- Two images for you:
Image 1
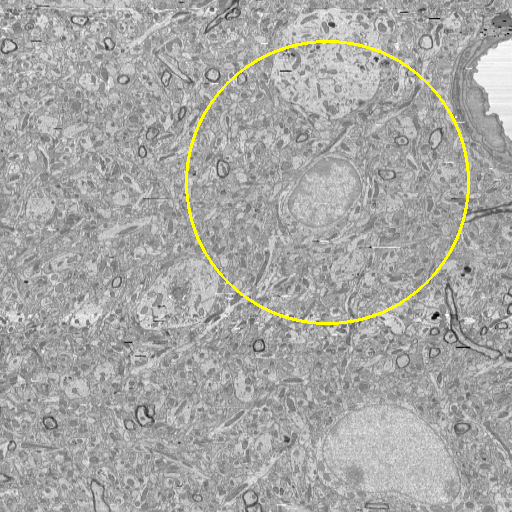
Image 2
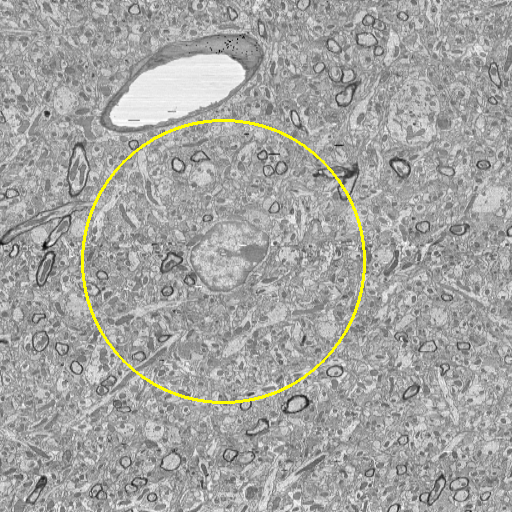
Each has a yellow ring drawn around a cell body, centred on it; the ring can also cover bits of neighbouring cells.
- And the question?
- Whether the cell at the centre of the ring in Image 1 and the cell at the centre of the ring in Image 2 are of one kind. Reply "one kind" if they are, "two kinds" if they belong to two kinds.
one kind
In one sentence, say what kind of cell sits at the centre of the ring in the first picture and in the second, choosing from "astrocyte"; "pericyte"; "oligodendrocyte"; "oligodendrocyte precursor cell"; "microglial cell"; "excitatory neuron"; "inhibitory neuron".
The second cell is an oligodendrocyte, just as the first is.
